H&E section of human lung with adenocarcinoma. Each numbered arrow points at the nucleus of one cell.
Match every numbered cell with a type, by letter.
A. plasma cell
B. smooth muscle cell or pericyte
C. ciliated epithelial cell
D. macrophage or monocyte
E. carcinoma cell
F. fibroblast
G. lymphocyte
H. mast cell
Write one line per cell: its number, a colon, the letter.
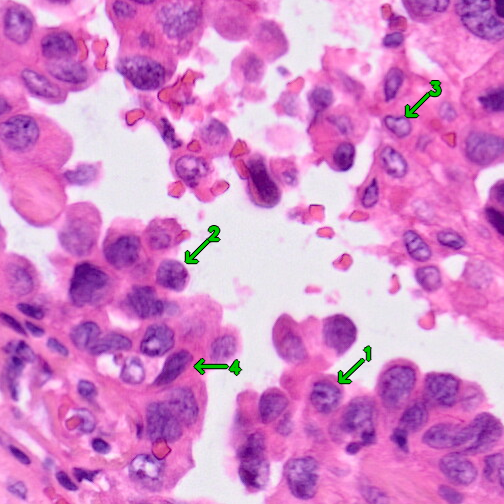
1: E
2: E
3: D
4: E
